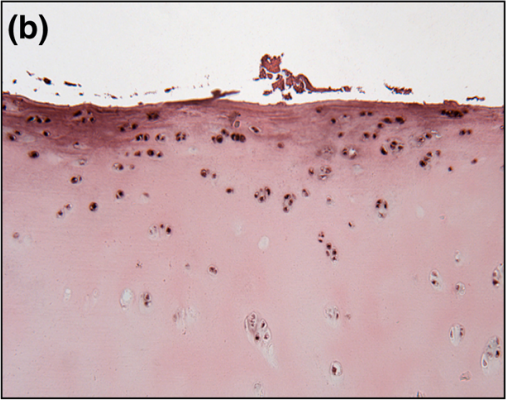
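Articular cartilage with chondrocytes in lacunae in a pink matrix; many cells in the upper zone are stained dark brown and lie in clusters of two or more. The surface is irregular and frayed, with fragments detached above it, and the superficial matrix is tinged brownish. Deeper cells are fewer and mostly paler.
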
